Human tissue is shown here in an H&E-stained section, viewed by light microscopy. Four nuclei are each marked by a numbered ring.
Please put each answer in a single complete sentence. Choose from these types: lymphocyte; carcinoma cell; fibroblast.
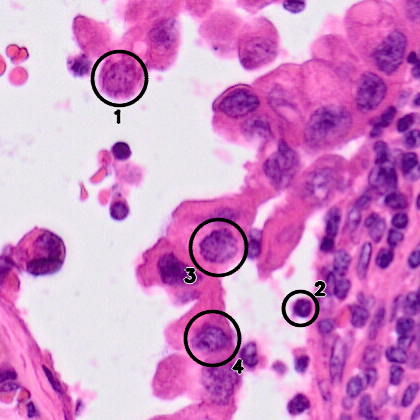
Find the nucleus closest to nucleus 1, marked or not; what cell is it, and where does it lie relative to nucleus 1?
Lying to the left of nucleus 1, the nearest nucleus is that of a lymphocyte.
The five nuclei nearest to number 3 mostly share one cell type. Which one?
Most of the five nuclei nearest to number 3 are those of carcinoma cells.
